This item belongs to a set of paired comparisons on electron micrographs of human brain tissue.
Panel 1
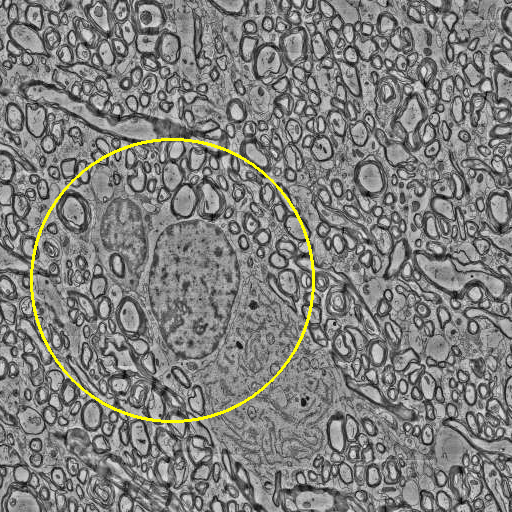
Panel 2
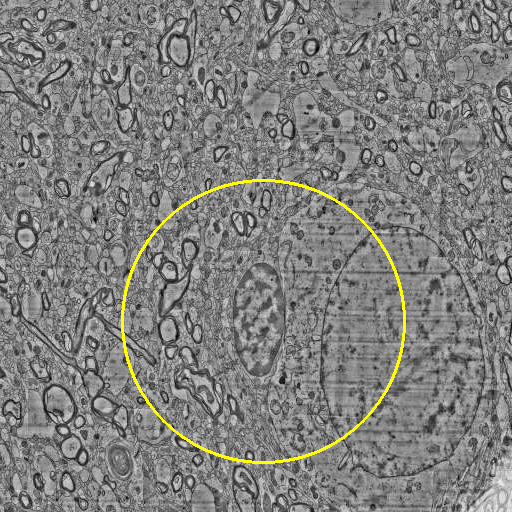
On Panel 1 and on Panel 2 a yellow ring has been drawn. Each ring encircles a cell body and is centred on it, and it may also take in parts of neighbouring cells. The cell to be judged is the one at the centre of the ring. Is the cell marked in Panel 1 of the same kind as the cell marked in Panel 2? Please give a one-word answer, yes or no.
yes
